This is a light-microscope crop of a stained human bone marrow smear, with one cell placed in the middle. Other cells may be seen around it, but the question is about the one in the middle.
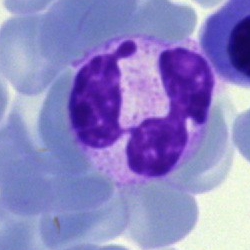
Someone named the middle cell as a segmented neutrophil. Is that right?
yes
